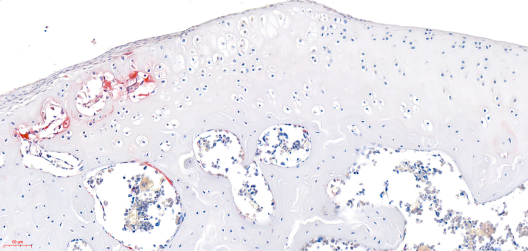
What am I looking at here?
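Articular cartilage over subchondral bone, with red-stained osteoclasts in cavities near the surface. The cartilage is pale, with rounded chondrocytes in lacunae, flatter near the surface. Below, bone surrounds marrow spaces holding blue-nucleated cells and some brownish material. At the upper left, small cavities reaching up into the cartilage are lined by bright red-stained cells, and thinner red lines run along some marrow space edges.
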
